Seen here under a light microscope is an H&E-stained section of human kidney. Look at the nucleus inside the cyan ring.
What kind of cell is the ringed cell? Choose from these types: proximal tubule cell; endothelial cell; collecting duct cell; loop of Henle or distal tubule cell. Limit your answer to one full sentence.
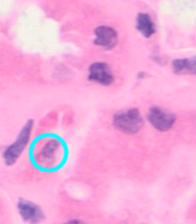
As classified here, the ringed cell is an endothelial cell.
